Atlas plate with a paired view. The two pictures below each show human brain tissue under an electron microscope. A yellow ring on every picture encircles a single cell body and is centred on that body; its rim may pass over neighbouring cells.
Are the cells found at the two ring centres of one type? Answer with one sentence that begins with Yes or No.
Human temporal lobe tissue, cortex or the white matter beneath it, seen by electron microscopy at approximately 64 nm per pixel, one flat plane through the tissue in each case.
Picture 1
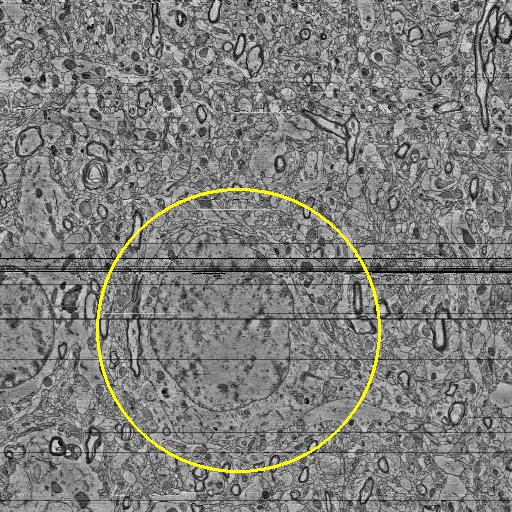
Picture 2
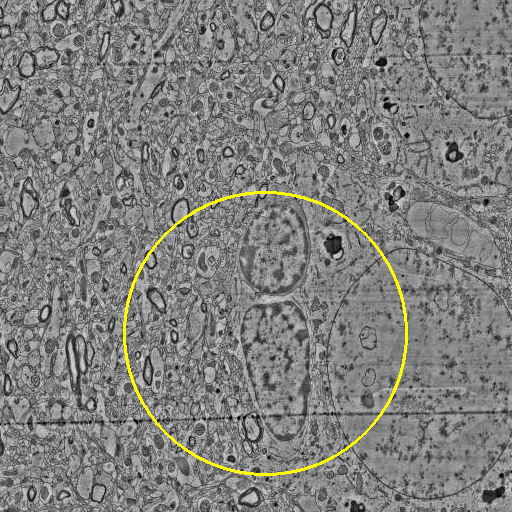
No, the two cells lying at the centres of the rings are of two types.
